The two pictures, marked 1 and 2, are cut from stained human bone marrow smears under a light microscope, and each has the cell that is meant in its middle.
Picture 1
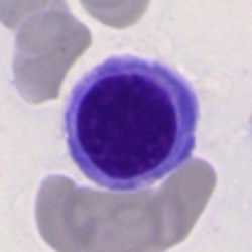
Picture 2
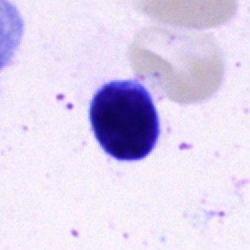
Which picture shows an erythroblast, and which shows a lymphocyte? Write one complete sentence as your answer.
In picture 1 the cell is an erythroblast; in picture 2, a lymphocyte.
